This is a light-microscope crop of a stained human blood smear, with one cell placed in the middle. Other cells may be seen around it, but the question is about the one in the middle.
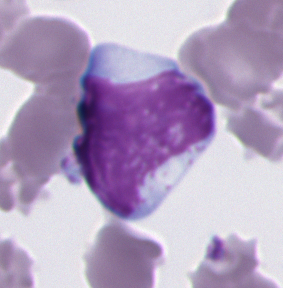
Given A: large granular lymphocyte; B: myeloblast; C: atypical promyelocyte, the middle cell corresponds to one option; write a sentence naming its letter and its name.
Option A is correct, and the cell in the centre is a large granular lymphocyte.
